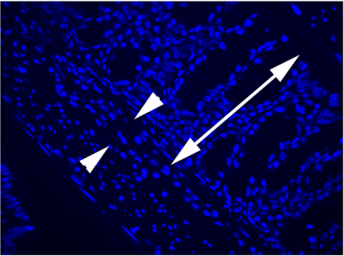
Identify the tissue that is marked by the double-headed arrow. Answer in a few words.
Mucosa.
